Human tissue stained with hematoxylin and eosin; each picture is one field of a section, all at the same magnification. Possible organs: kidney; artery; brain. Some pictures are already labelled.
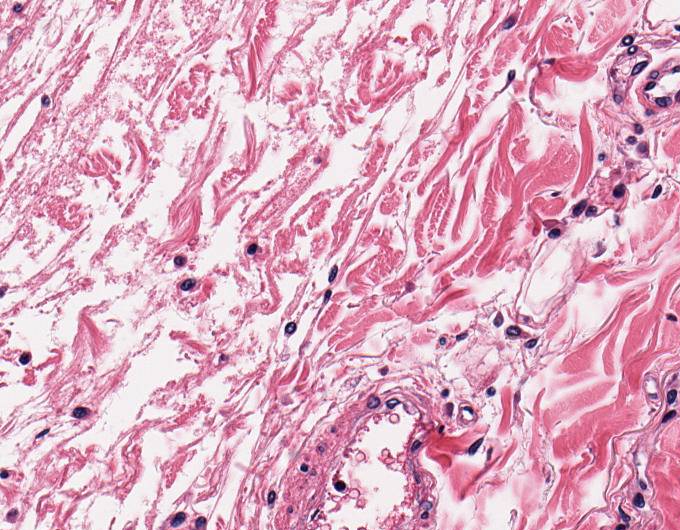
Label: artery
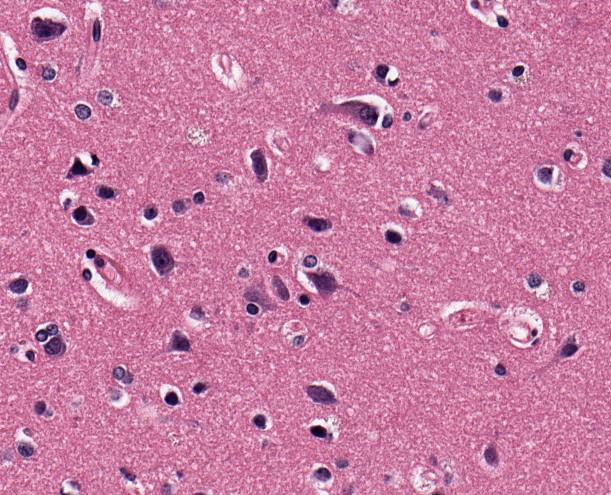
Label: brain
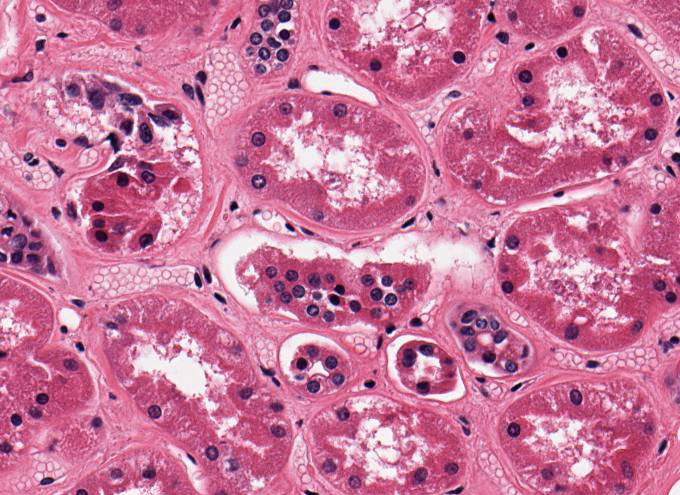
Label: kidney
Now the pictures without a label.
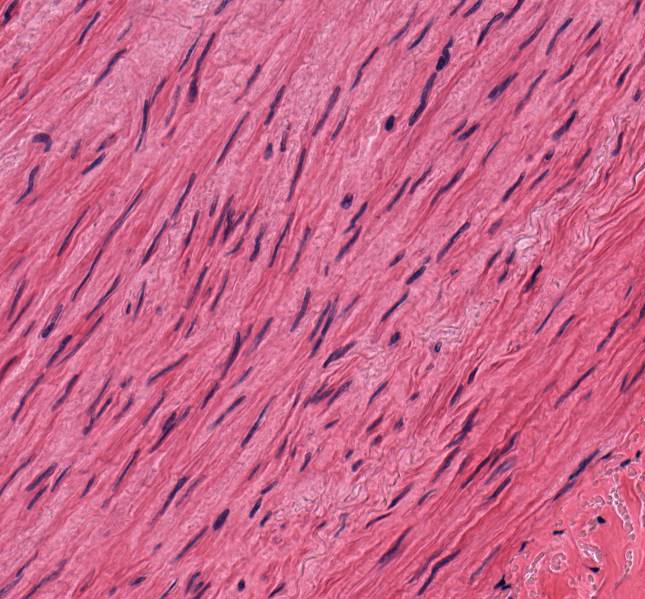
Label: artery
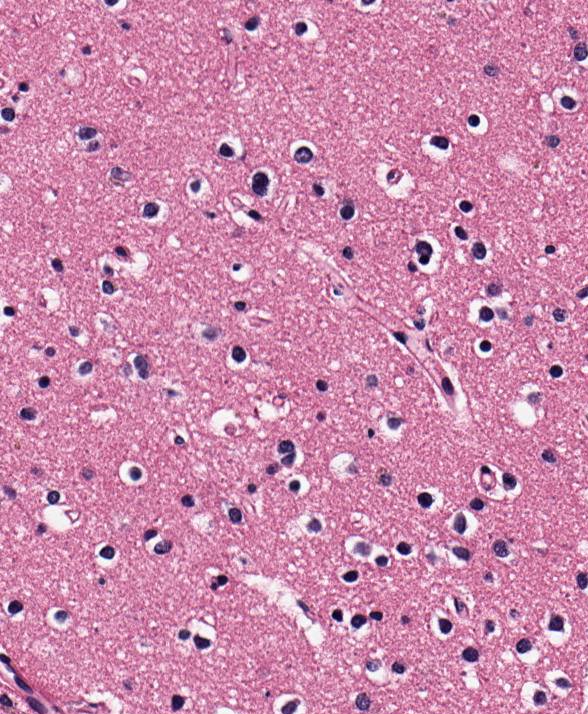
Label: brain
